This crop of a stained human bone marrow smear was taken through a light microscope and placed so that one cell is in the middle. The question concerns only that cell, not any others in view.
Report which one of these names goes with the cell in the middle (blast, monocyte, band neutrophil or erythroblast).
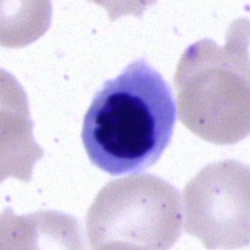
erythroblast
